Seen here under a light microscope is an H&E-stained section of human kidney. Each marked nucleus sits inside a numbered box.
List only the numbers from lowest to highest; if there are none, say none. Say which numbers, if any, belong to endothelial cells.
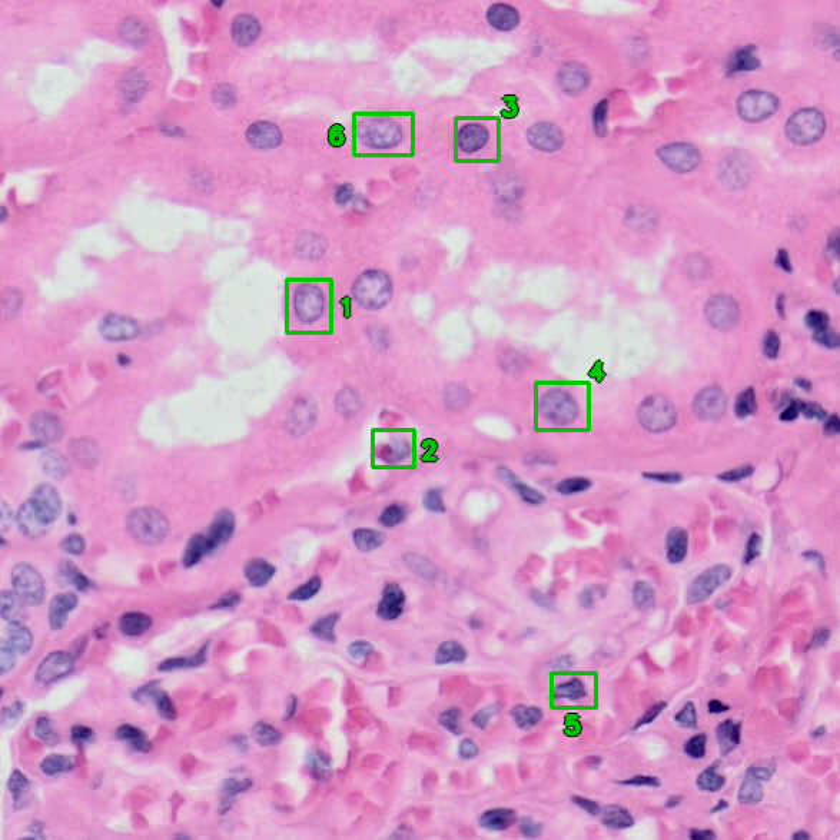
2, 5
